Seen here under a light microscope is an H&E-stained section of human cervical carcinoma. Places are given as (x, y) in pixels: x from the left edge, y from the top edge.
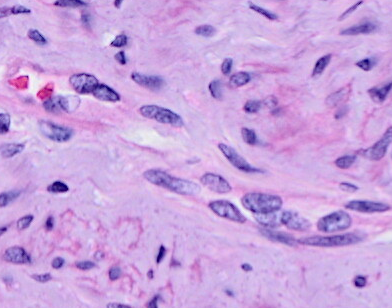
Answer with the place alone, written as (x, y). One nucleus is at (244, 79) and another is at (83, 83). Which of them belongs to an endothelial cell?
(83, 83)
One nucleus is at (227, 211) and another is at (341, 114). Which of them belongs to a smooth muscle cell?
(341, 114)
